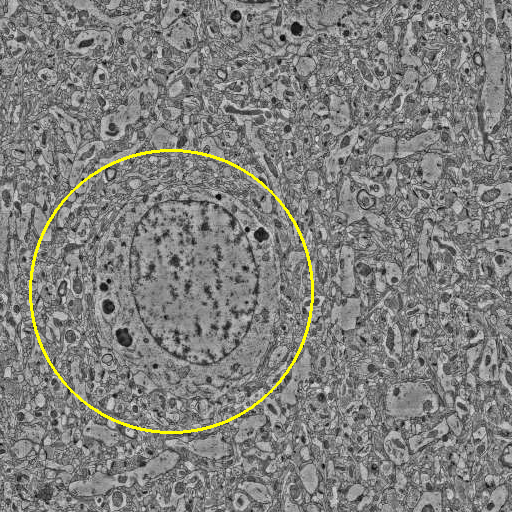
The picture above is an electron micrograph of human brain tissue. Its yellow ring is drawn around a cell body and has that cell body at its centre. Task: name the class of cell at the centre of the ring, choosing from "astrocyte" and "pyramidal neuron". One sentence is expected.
The ring surrounds the body of a pyramidal neuron.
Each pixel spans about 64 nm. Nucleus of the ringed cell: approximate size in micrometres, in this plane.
In this plane the nucleus measures roughly 11 by 8 micrometres.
